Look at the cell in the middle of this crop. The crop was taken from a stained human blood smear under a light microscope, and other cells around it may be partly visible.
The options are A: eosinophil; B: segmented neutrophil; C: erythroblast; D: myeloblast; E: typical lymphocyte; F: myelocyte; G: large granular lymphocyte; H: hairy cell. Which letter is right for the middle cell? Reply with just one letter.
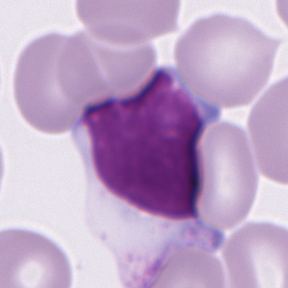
G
